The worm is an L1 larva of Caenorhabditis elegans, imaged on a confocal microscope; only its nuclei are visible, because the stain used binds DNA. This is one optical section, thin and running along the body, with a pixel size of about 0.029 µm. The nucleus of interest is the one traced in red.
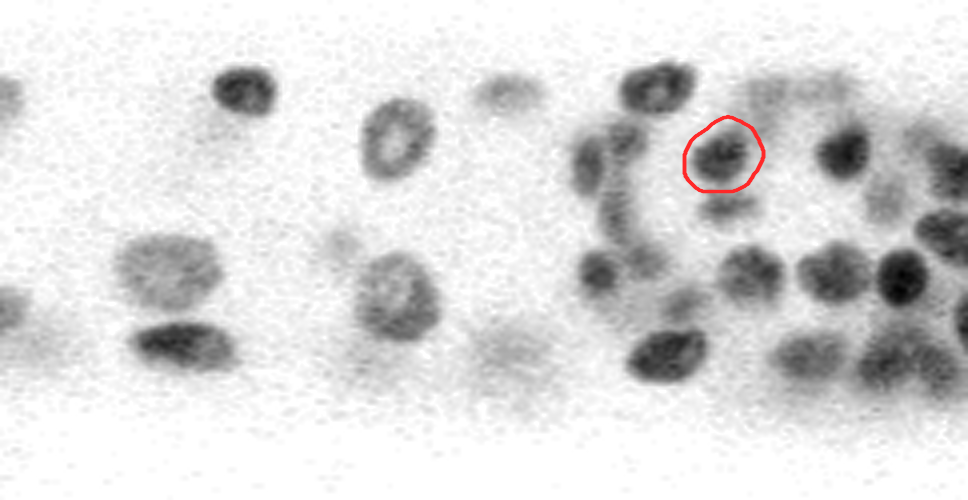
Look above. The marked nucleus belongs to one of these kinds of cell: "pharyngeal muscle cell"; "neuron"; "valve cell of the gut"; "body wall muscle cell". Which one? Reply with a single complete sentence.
The marked nucleus is that of a neuron.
